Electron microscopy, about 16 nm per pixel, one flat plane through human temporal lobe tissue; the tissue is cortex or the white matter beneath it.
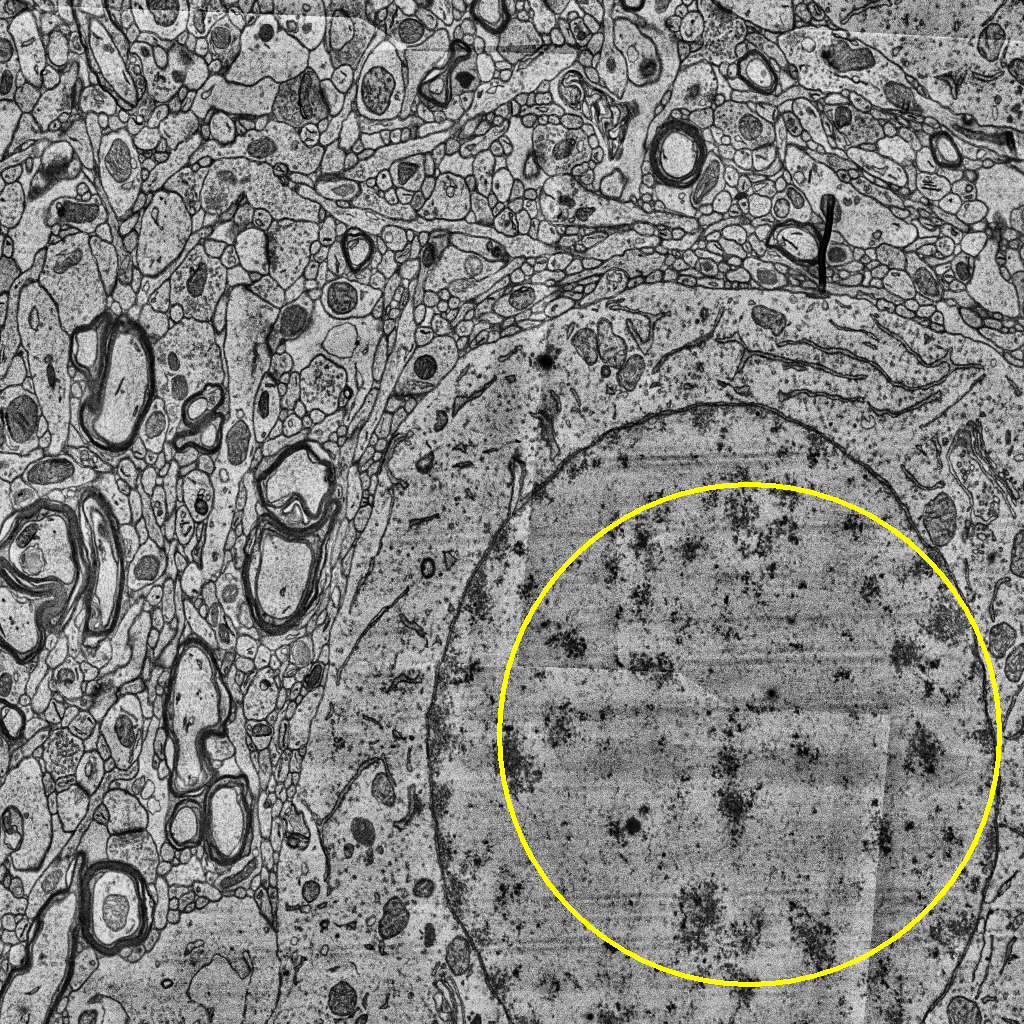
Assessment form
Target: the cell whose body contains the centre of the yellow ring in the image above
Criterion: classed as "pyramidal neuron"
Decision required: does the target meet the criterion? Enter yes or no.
yes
